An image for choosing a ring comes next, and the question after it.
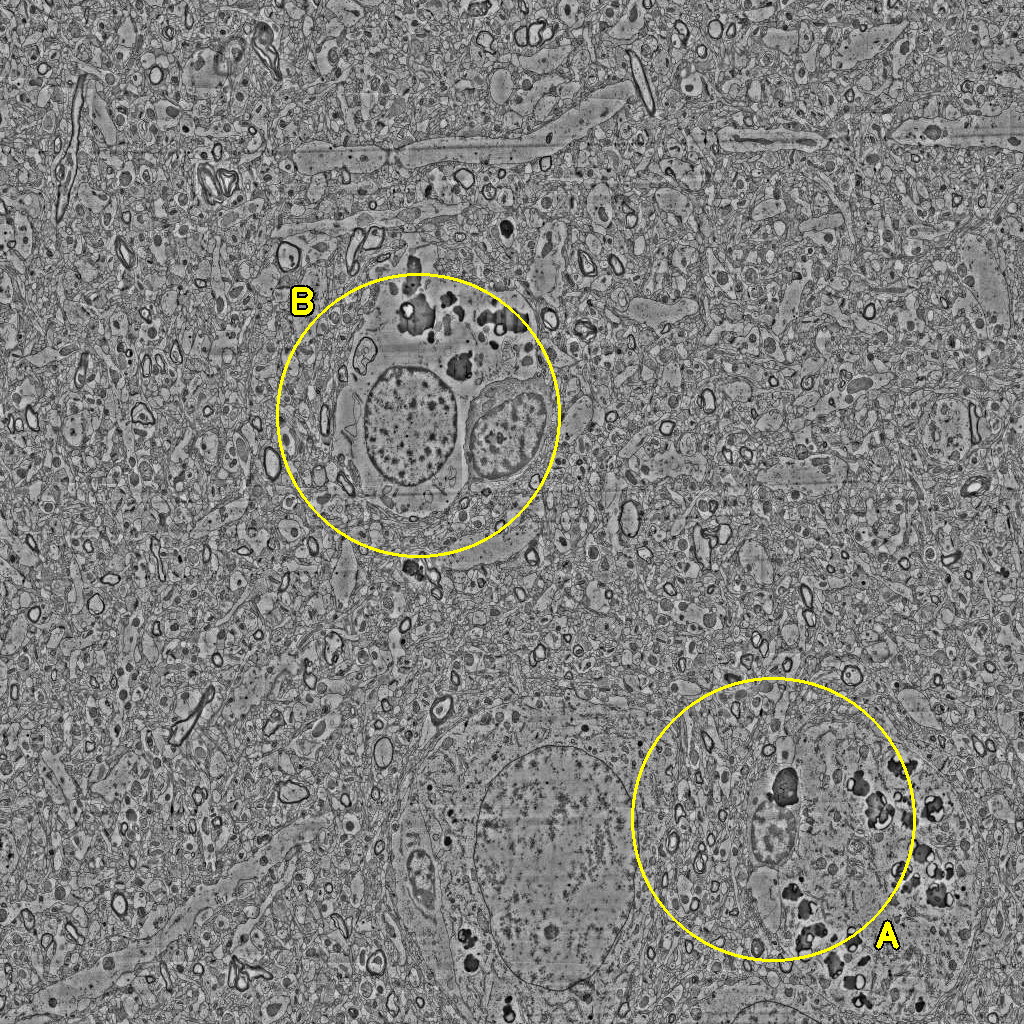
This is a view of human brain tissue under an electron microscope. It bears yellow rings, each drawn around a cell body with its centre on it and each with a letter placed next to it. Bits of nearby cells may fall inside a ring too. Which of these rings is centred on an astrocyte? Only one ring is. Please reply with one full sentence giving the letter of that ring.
Of all the lettered rings, B is the one centred on a cell of that kind.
